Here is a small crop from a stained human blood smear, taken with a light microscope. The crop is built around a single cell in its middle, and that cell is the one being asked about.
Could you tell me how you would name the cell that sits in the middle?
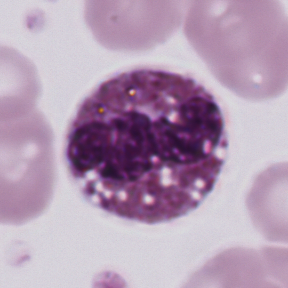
eosinophil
